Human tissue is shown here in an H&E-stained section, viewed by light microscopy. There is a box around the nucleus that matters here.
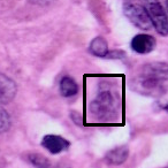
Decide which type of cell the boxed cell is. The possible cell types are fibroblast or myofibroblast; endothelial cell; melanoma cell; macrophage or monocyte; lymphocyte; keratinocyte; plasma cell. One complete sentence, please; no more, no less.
Speaking plainly, the boxed cell is nothing other than a melanoma cell.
